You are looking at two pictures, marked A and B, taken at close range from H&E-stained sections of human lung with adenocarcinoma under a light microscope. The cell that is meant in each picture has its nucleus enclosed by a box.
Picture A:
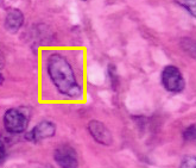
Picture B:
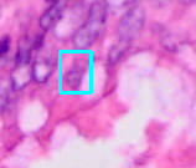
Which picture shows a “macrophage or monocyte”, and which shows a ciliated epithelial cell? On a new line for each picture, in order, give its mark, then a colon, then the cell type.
A: macrophage or monocyte
B: ciliated epithelial cell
